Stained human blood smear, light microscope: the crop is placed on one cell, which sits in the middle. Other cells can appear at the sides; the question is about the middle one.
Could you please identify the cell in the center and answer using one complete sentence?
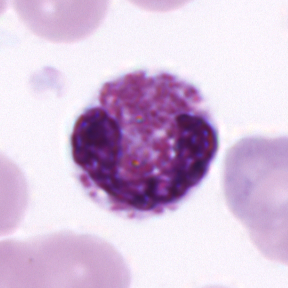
The cell positioned in the middle of the field is an eosinophil.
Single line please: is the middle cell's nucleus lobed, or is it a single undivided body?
What stands out is the nucleus, split into two or more lobes.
